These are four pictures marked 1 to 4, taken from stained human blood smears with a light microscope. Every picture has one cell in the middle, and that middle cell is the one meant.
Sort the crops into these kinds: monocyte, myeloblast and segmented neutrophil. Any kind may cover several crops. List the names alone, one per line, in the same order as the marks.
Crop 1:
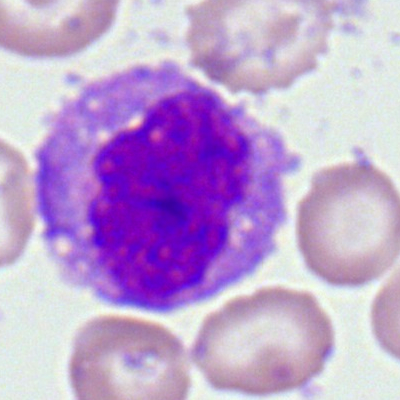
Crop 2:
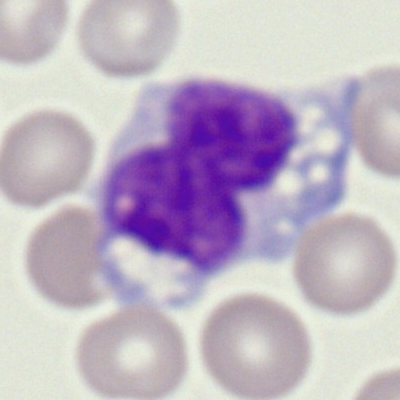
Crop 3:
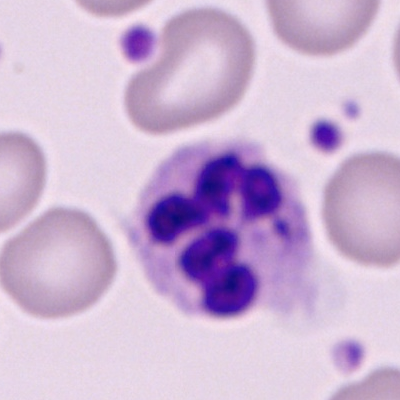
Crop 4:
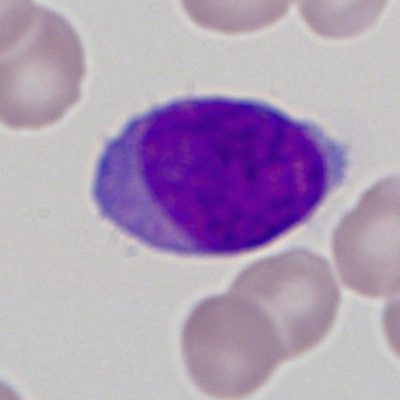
monocyte
monocyte
segmented neutrophil
myeloblast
